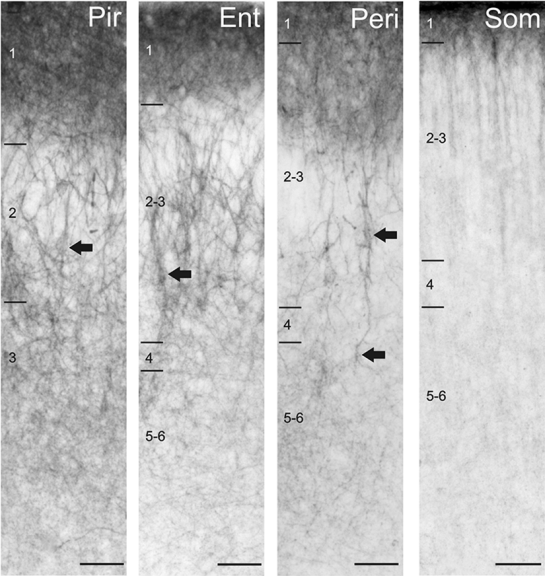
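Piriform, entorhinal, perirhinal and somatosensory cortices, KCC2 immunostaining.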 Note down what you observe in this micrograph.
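Four strips of cortex run from the pial surface downward, with a dense dark meshwork of stained dendrites in the superficial layer. In the last strip, staining is mainly confined to the superficial layer, with a few thin processes descending into the pale layers below.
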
